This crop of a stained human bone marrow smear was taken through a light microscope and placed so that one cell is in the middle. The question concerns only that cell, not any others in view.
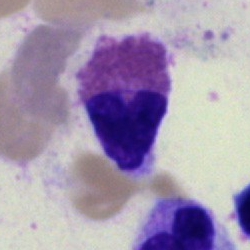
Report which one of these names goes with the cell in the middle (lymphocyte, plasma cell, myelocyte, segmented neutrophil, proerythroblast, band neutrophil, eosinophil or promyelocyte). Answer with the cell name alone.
eosinophil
